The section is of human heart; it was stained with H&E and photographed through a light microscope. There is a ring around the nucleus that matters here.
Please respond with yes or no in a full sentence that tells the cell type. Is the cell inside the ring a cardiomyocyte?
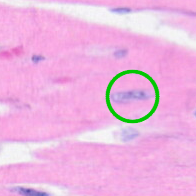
Yes, the cell inside the ring represents a cardiomyocyte in this tissue.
